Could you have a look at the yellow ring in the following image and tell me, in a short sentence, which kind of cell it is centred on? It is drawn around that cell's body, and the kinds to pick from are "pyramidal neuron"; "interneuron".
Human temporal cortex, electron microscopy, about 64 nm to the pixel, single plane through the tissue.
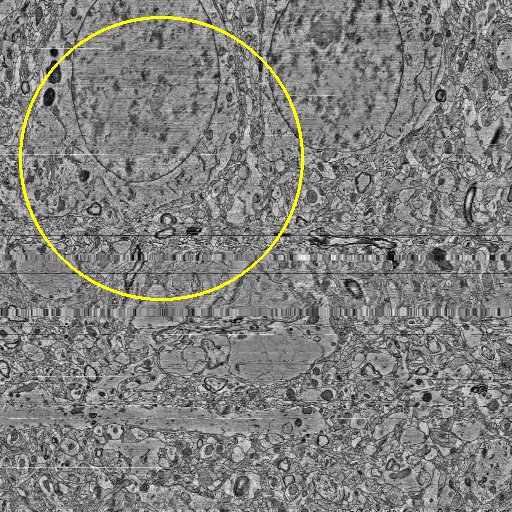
The ring is centred on the body of a pyramidal neuron.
